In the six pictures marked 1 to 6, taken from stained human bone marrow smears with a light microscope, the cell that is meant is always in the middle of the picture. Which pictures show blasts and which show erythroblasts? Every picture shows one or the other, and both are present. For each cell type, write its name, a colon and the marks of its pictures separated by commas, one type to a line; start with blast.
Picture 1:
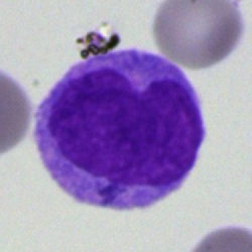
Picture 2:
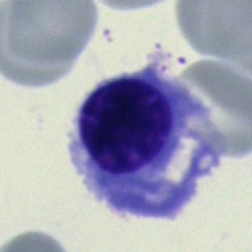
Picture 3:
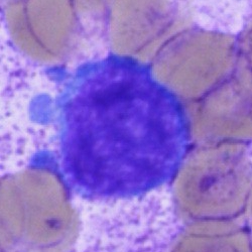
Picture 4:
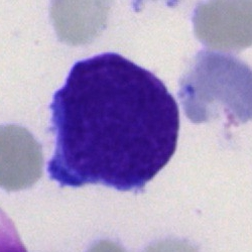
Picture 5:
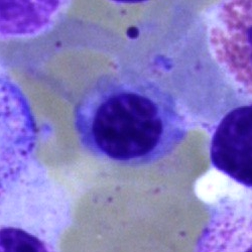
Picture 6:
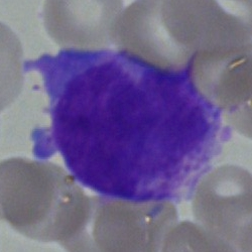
blast: 1, 3, 4, 6
erythroblast: 2, 5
